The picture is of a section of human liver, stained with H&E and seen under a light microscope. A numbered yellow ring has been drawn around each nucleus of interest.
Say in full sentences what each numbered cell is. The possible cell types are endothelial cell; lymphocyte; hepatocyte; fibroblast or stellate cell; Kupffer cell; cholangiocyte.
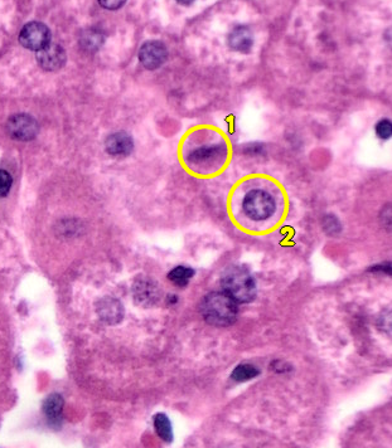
Cell 1 is a Kupffer cell. Cell 2 is a hepatocyte.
